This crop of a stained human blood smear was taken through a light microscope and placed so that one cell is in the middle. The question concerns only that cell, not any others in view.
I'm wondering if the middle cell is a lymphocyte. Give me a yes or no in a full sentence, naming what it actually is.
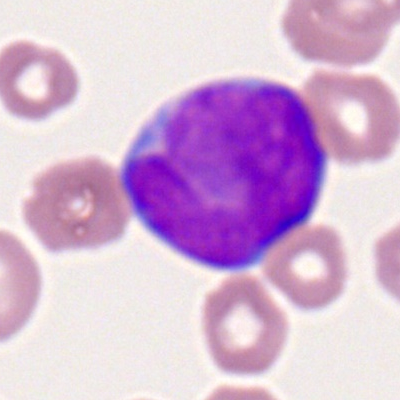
No, the central cell here is a myeloblast; calling it a lymphocyte is not right.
